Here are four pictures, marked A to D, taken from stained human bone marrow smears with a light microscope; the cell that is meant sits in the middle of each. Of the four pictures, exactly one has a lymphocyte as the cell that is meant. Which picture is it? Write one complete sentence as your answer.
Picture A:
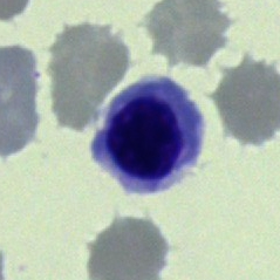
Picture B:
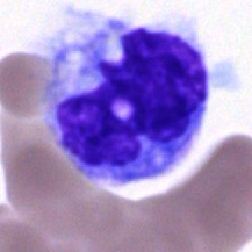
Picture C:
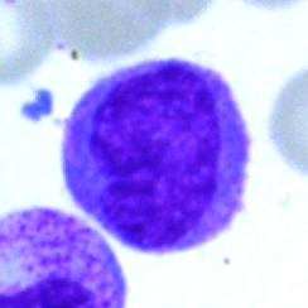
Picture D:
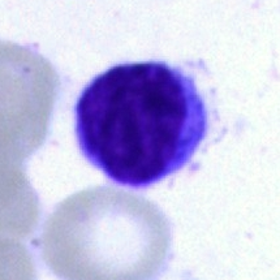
The picture with the lymphocyte is D.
